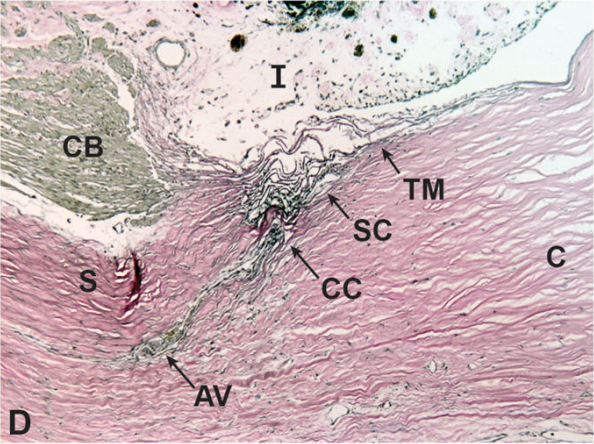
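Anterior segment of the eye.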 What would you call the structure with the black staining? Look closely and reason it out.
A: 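Elastic fibers. Fine black wavy fibres are concentrated in the meshwork and channels at the angle between iris and sclera. The black fibres run along the narrow channel leading outward through the pink tissue. The surrounding dense lamellar tissue stains pink, not black.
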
